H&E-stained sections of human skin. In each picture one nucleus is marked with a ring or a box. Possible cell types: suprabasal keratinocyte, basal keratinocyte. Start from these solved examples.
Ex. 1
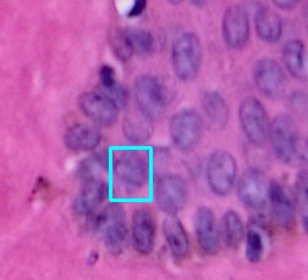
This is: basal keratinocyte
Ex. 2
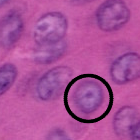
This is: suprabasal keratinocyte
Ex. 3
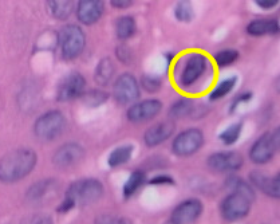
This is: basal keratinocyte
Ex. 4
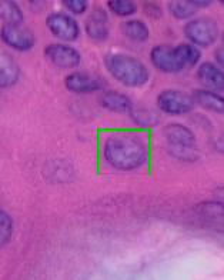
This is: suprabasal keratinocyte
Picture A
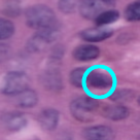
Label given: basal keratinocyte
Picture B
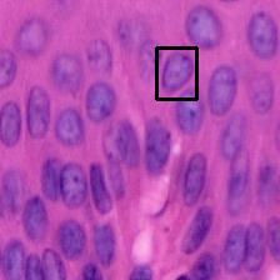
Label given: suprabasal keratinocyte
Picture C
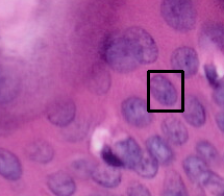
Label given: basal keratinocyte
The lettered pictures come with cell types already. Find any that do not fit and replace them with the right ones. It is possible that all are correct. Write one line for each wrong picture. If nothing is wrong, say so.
C: not basal keratinocyte but suprabasal keratinocyte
